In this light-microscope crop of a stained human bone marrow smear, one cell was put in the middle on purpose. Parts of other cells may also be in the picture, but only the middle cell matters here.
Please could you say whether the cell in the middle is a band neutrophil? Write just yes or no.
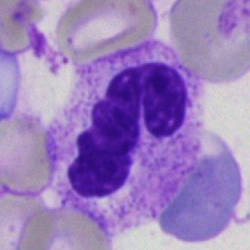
no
